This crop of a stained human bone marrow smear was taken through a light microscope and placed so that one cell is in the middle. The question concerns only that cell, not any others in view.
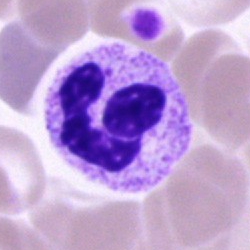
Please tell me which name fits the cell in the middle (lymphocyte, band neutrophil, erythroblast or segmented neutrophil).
segmented neutrophil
